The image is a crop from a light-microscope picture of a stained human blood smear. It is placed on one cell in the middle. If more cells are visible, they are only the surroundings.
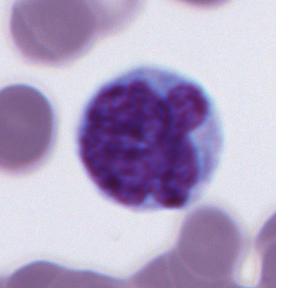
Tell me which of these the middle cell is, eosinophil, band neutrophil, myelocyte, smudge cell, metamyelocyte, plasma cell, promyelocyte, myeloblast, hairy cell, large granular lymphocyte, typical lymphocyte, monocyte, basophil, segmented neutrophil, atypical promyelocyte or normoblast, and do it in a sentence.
Of the cells in this crop, the central one is a monocyte.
